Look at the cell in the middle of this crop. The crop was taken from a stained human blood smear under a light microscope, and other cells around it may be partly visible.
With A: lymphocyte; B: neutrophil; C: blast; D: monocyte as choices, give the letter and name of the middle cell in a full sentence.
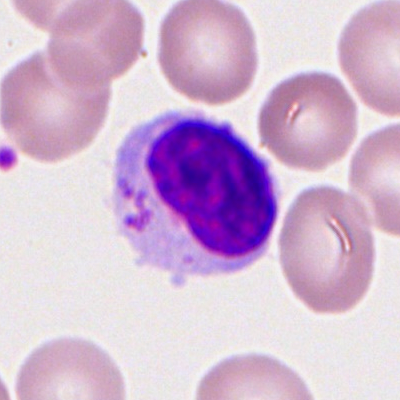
What sits in the middle of the crop is a lymphocyte, and option A is correct.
